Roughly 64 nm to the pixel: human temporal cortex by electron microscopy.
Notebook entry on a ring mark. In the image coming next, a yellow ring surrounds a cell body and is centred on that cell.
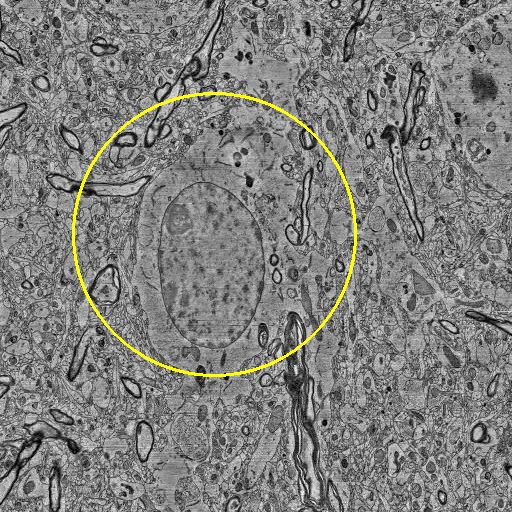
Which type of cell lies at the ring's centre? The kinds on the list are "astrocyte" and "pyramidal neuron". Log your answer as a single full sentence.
Centred in the yellow ring is an astrocyte, the cell recorded for this image.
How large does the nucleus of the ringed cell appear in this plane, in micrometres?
About 11 by 7 micrometres in this plane; clearly longer than it is wide.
